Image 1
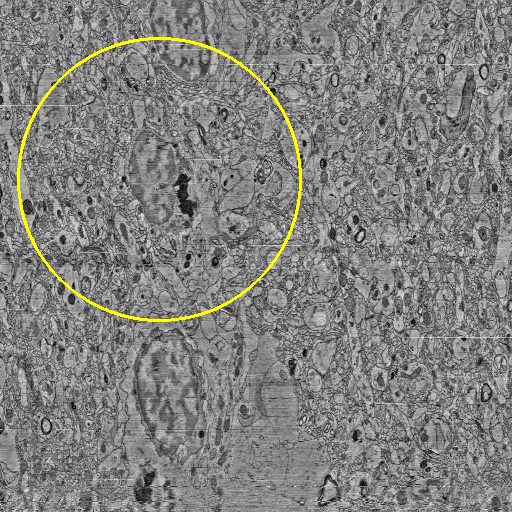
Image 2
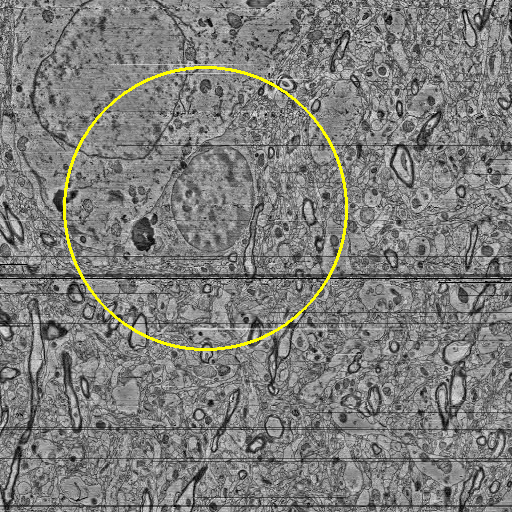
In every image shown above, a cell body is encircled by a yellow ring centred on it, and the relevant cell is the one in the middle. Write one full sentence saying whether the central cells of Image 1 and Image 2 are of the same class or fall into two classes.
The cell at the ring's centre in Image 1 and its counterpart in Image 2 are of the same class.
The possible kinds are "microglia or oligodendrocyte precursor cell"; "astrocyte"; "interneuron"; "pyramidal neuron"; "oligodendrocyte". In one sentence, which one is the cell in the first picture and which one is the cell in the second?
In the first picture and in the second, the ring is centred on an oligodendrocyte.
